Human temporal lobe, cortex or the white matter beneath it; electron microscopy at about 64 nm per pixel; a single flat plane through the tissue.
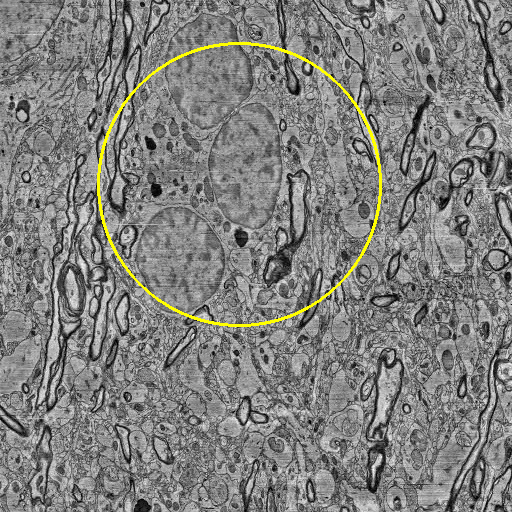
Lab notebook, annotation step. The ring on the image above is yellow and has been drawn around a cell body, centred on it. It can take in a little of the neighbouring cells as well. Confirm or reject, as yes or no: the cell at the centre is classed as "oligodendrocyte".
Yes, confirmed for that class.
